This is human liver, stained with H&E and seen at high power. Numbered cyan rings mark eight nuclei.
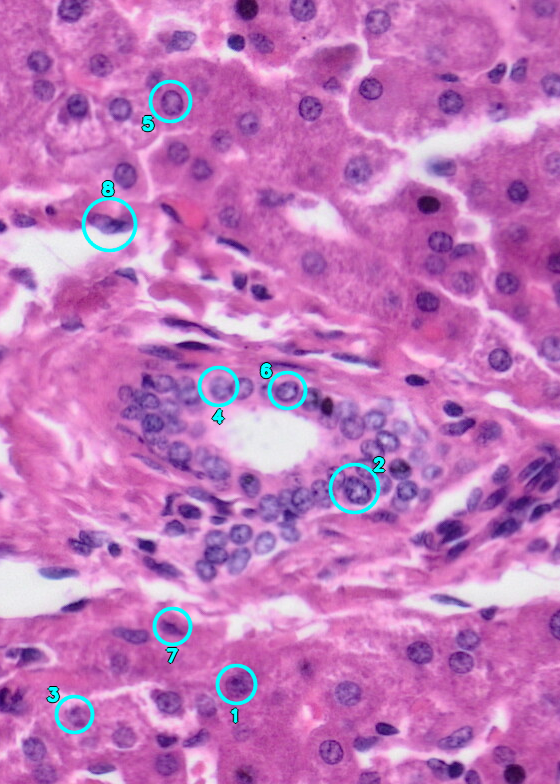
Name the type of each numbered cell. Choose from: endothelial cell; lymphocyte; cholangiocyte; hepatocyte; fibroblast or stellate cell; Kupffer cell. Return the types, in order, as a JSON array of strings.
["hepatocyte", "cholangiocyte", "hepatocyte", "cholangiocyte", "hepatocyte", "cholangiocyte", "fibroblast or stellate cell", "fibroblast or stellate cell"]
